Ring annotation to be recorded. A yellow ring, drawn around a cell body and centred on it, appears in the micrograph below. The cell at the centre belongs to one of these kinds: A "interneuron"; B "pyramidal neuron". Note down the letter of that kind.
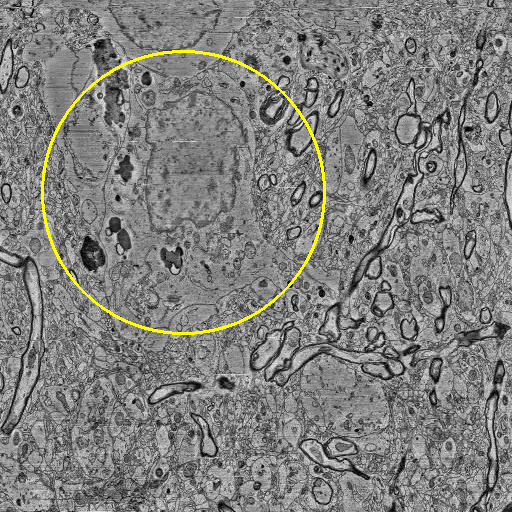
A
